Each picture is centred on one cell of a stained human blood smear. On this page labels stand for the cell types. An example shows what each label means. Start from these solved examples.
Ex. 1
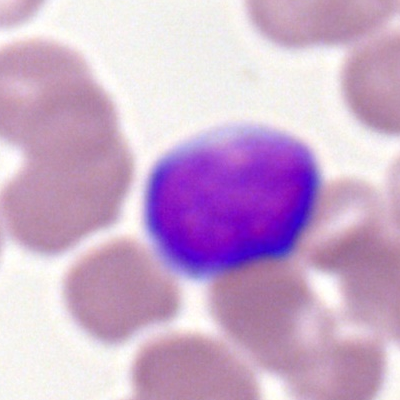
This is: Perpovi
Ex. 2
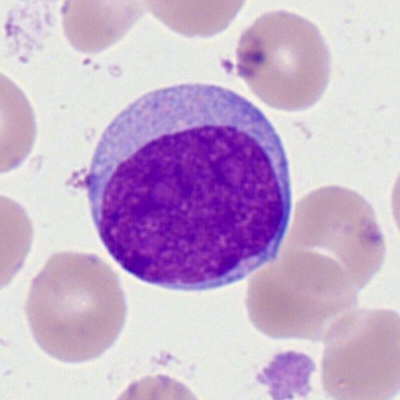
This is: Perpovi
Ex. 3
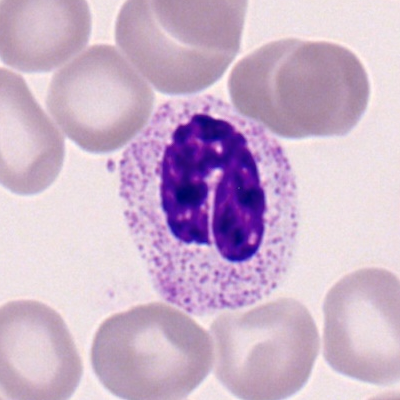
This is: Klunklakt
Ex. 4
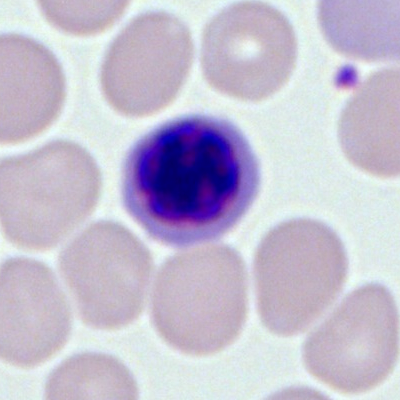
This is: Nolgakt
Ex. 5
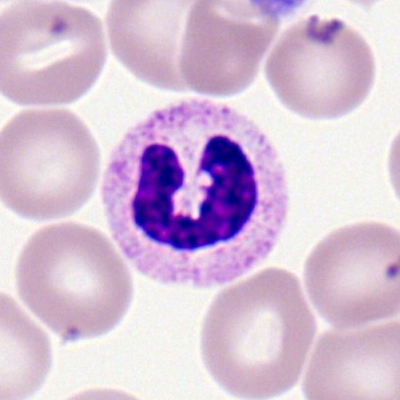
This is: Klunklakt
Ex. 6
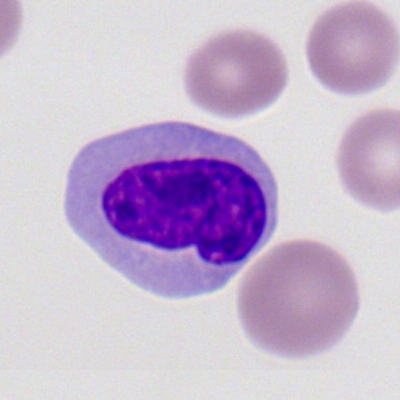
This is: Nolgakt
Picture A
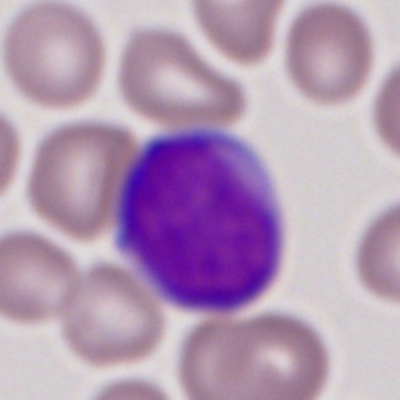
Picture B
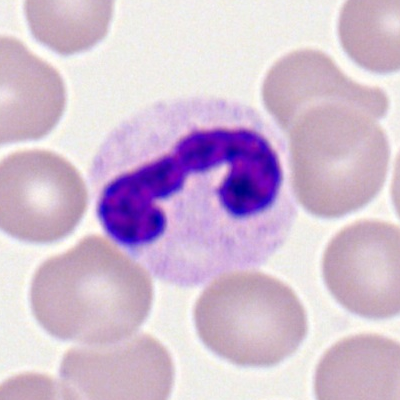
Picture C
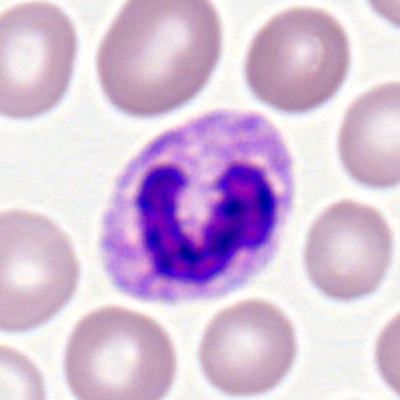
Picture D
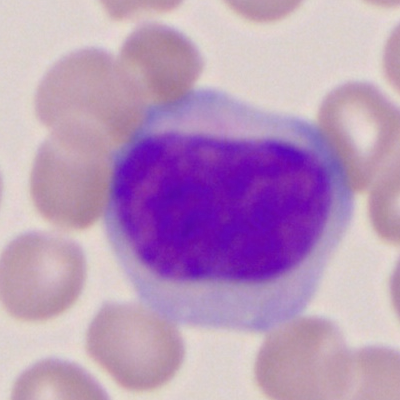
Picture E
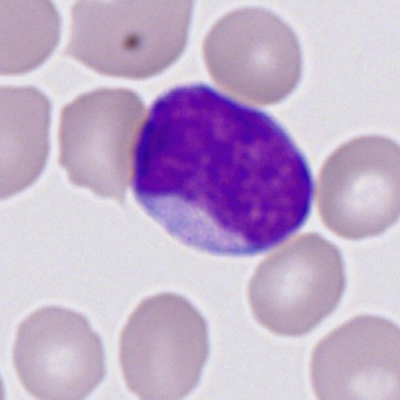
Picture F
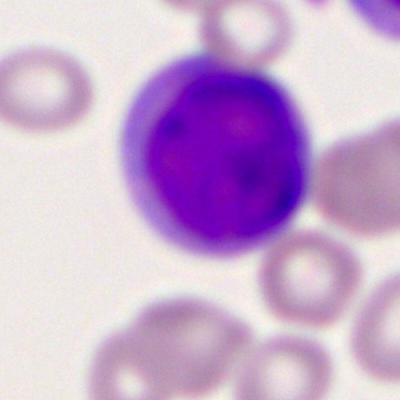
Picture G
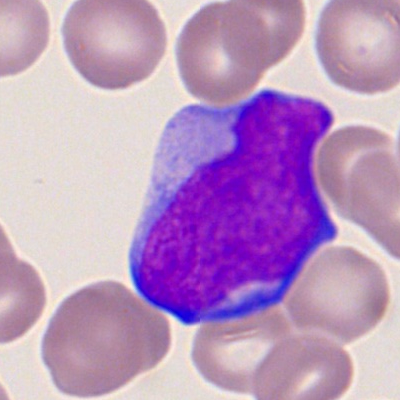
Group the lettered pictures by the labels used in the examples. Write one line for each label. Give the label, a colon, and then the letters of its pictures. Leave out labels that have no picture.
Perpovi: A, D, E, F, G
Klunklakt: B, C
